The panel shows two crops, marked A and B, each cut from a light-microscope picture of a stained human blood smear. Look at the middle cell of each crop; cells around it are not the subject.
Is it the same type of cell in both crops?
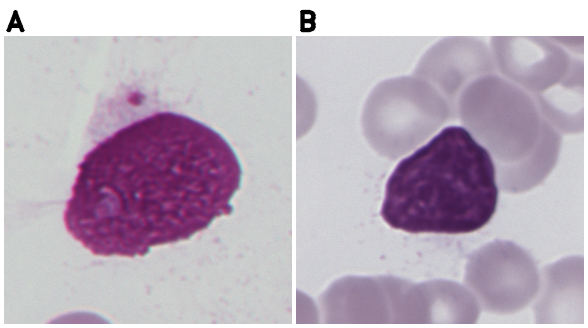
yes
